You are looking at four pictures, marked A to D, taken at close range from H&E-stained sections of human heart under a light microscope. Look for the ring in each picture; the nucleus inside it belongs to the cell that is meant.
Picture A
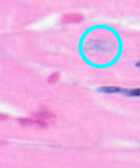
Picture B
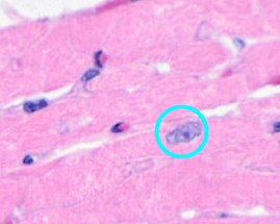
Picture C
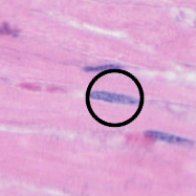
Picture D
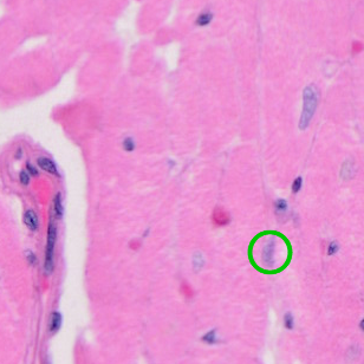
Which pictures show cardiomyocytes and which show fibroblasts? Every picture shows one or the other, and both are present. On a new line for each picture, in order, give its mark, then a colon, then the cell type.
A: cardiomyocyte
B: cardiomyocyte
C: fibroblast
D: fibroblast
